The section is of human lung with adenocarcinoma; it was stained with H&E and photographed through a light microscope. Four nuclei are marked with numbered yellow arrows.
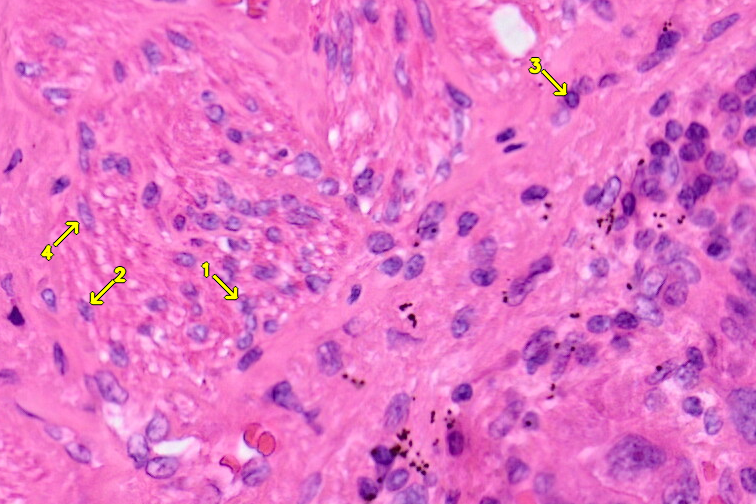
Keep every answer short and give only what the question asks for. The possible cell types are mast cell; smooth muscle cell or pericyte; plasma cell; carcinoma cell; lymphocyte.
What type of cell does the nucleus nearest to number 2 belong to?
mast cell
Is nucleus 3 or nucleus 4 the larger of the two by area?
4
